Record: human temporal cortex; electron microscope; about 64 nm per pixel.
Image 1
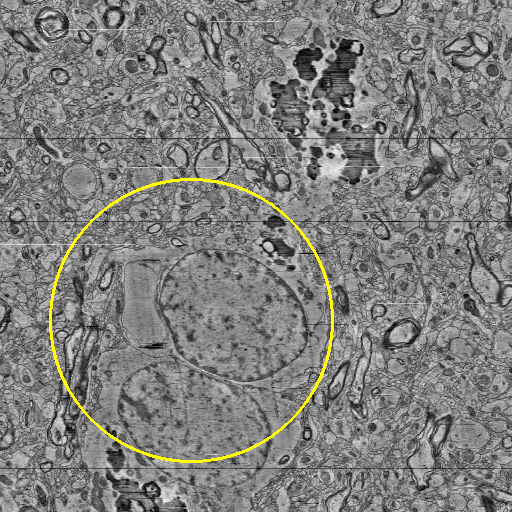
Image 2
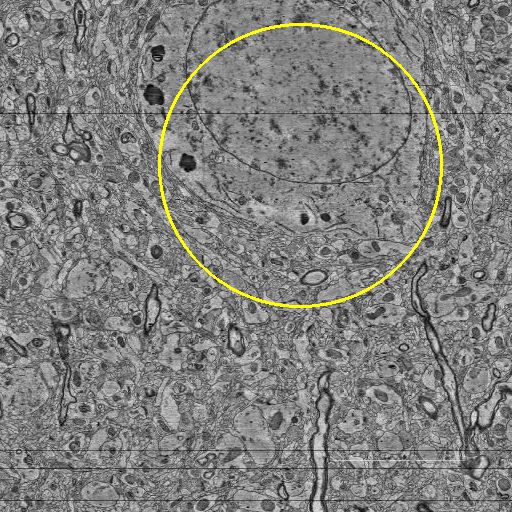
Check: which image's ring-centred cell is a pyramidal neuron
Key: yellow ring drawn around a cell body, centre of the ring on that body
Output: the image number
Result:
2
